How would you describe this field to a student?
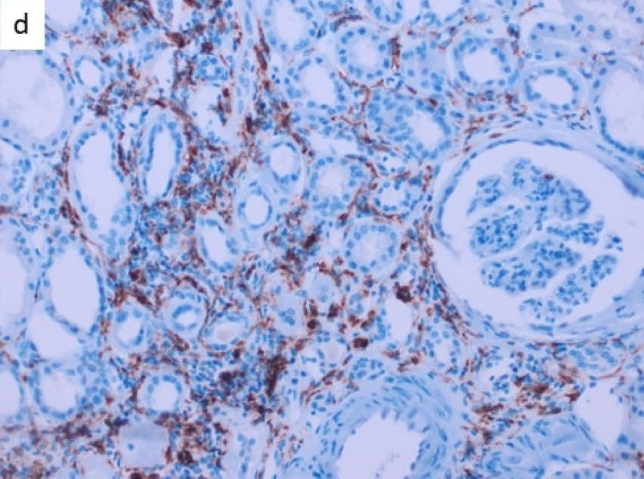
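Kidney cortex with many small tubules in cross section and a glomerulus at the right, between which the interstitium is crowded with brown-stained cells. These cells have elongated, branching cytoplasm that wraps around the tubules, forming a network, while the glomerular tuft itself holds almost none. Blue nuclei of tubular epithelium and infiltrating cells fill the rest.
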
